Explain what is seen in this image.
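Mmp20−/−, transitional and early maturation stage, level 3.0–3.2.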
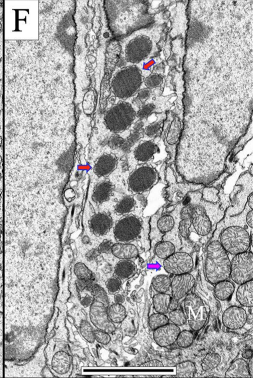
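This shows ameloblasts with a column of large, round, homogeneous dense bodies packed into the cytoplasm between two pale nuclei. The dense bodies vary somewhat in size and each is enclosed by a thin membrane. Below them, a cluster of mitochondria with clearly visible cristae fills the lower part of the cell. The cell membranes run as fine dark lines between neighbouring narrow cells. The accumulation of dense material in such bulk within the cytoplasm is striking.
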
